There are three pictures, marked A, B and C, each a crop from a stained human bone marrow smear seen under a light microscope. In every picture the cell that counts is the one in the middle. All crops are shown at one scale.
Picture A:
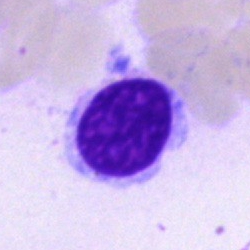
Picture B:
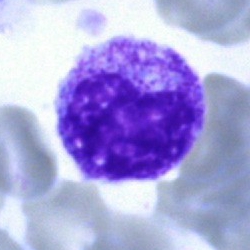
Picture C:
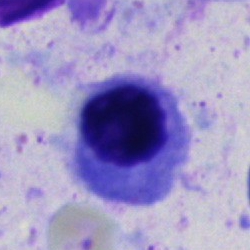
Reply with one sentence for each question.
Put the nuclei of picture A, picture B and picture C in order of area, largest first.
From the largest down, the order is B, A, C.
